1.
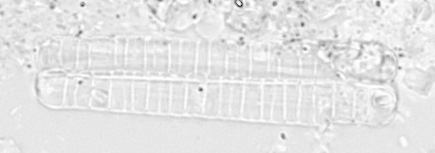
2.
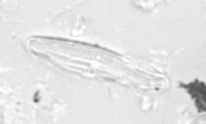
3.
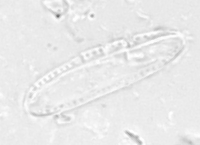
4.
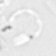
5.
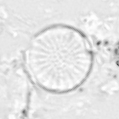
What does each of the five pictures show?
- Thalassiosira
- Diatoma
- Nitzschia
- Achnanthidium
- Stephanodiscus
(1) Diatoma
(2) Achnanthidium
(3) Nitzschia
(4) Thalassiosira
(5) Stephanodiscus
